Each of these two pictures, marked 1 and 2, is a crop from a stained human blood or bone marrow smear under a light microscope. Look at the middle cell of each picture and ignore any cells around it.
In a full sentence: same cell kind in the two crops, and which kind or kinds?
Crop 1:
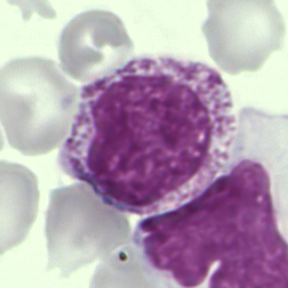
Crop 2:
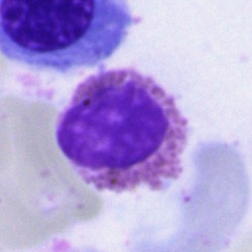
No, look again: crop 1 shows a myelocyte, and crop 2 shows an eosinophil.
